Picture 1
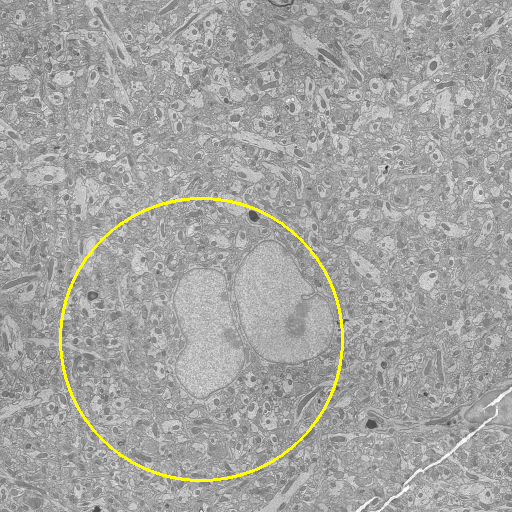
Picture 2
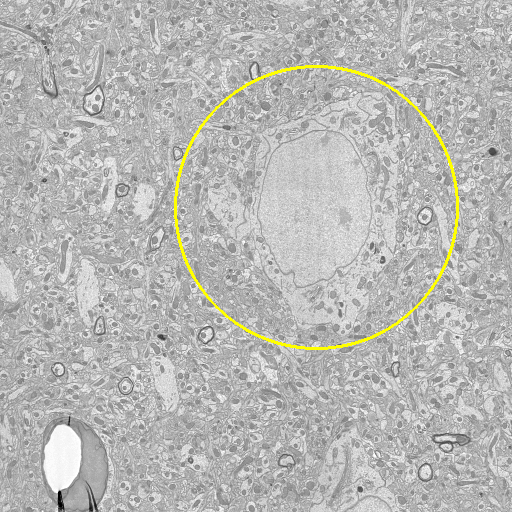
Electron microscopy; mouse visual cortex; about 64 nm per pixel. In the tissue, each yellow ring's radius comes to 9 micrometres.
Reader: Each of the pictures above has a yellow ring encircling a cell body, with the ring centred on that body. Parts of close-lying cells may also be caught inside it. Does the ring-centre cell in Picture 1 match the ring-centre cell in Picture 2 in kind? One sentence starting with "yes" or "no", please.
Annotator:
No, Picture 1 and Picture 2 show ring-centre cells of two kinds.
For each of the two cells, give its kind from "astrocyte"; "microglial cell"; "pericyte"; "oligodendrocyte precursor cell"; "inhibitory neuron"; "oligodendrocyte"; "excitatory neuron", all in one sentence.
The first picture has an astrocyte in its ring, the second has an excitatory neuron.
